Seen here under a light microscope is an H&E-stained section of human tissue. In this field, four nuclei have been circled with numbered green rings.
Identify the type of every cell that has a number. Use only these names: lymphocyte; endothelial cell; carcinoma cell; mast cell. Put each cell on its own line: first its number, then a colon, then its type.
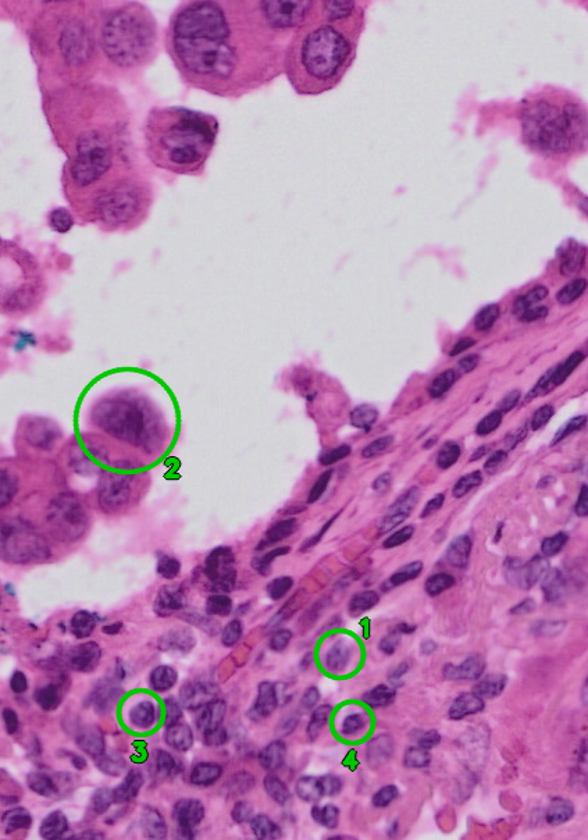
1: lymphocyte
2: carcinoma cell
3: lymphocyte
4: lymphocyte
